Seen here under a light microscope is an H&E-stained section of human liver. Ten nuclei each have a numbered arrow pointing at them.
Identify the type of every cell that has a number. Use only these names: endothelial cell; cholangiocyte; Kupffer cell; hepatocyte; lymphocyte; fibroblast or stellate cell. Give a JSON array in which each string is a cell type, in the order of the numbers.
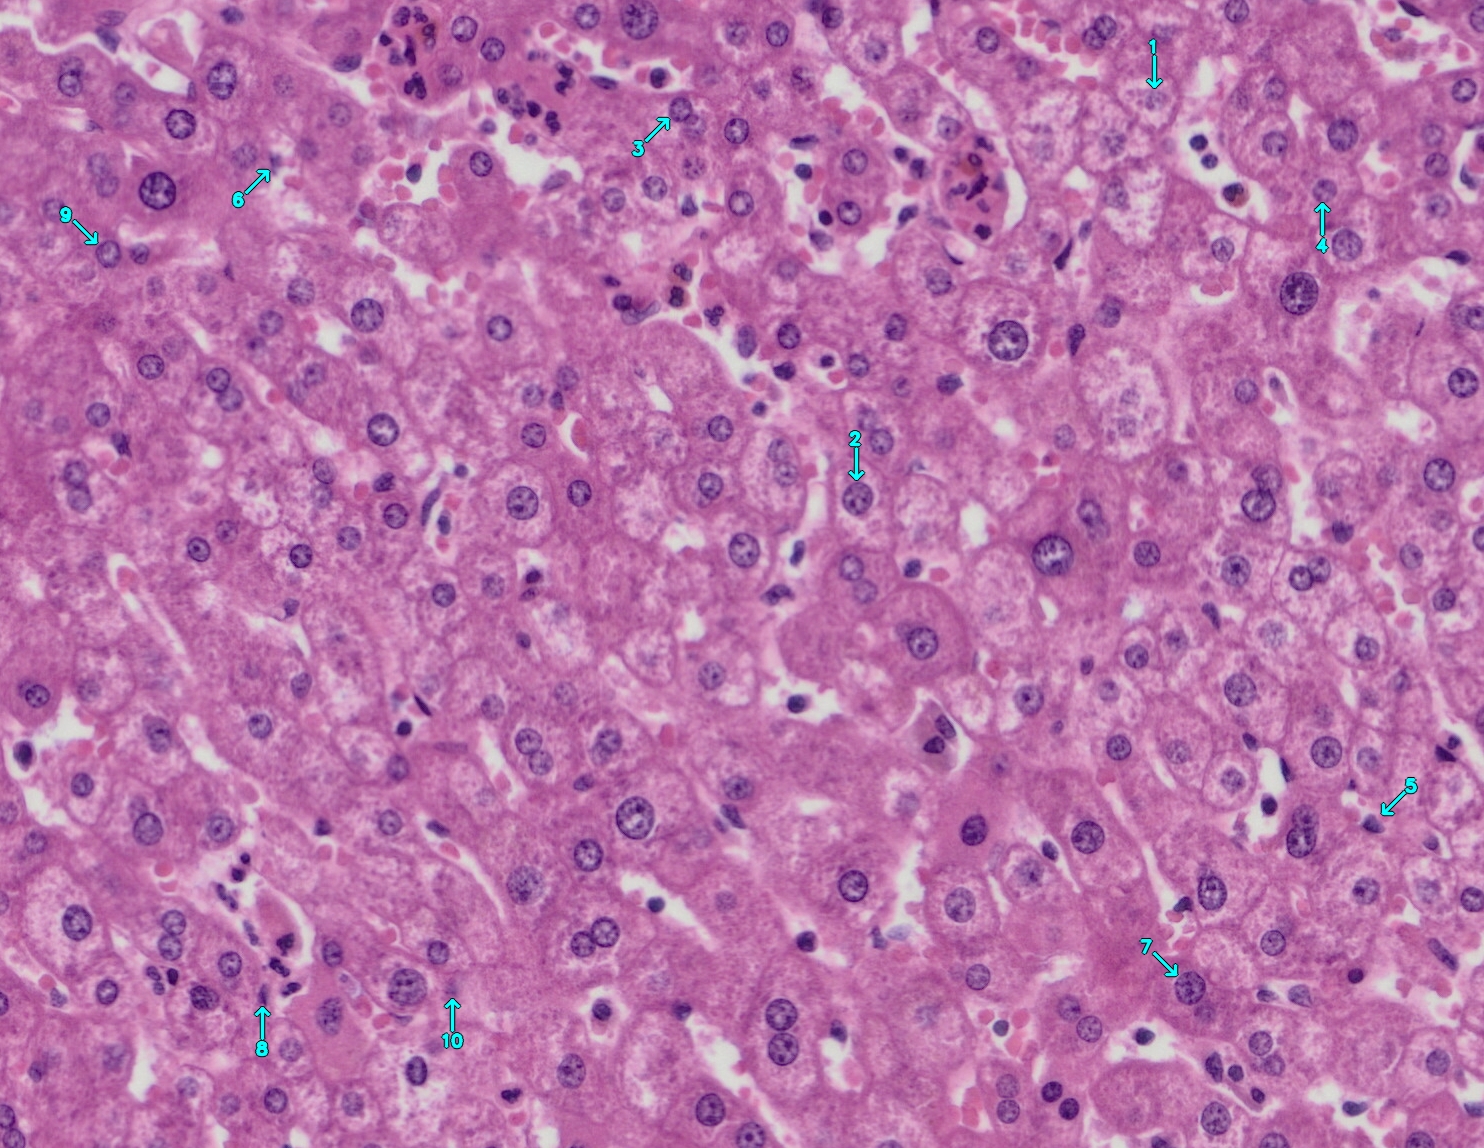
["hepatocyte", "hepatocyte", "hepatocyte", "hepatocyte", "endothelial cell", "endothelial cell", "hepatocyte", "fibroblast or stellate cell", "hepatocyte", "Kupffer cell"]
